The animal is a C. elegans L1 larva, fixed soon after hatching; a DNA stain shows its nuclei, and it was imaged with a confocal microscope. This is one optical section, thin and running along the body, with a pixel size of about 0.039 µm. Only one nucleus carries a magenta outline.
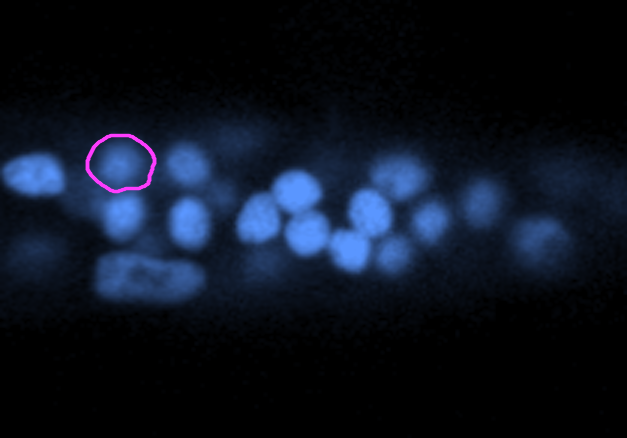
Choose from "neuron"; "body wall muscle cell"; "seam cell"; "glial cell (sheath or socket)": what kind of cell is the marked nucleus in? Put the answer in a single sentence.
This nucleus is from a neuron.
